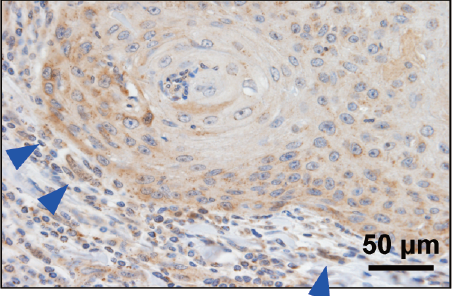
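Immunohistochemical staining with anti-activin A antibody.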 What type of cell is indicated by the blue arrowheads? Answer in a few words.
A: Cancer-associated fibroblasts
